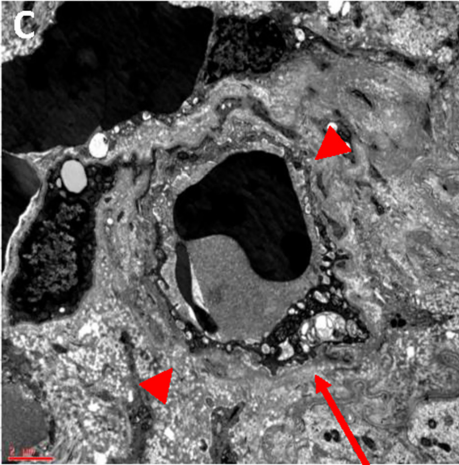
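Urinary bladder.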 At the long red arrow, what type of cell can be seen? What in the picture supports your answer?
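The arrow points at the thin cell layer lining the vessel lumen.
Endothelial cell.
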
